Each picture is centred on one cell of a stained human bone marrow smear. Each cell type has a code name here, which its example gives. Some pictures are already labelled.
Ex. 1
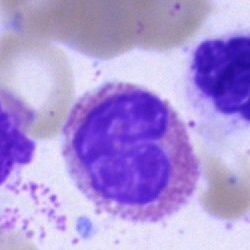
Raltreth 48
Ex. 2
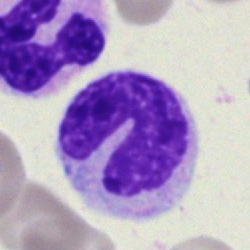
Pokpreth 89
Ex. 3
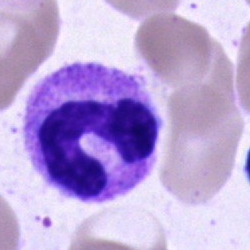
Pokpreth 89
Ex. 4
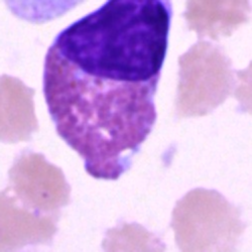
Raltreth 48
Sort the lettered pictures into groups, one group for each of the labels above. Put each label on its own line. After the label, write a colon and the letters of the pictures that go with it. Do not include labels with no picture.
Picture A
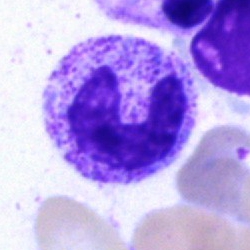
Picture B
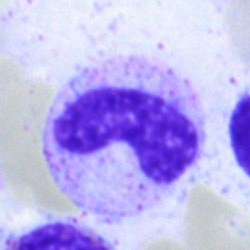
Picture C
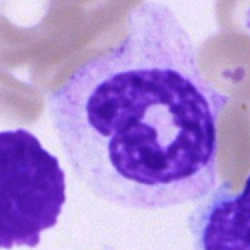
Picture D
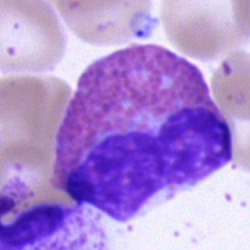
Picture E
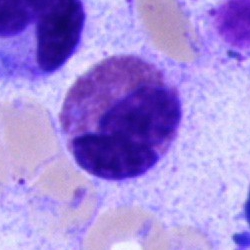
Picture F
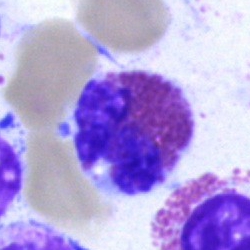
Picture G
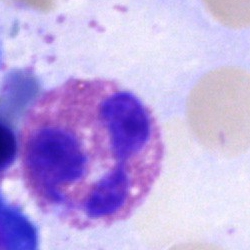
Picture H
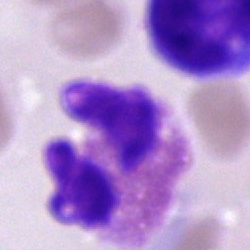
Raltreth 48: D, E, F, G, H
Pokpreth 89: A, B, C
